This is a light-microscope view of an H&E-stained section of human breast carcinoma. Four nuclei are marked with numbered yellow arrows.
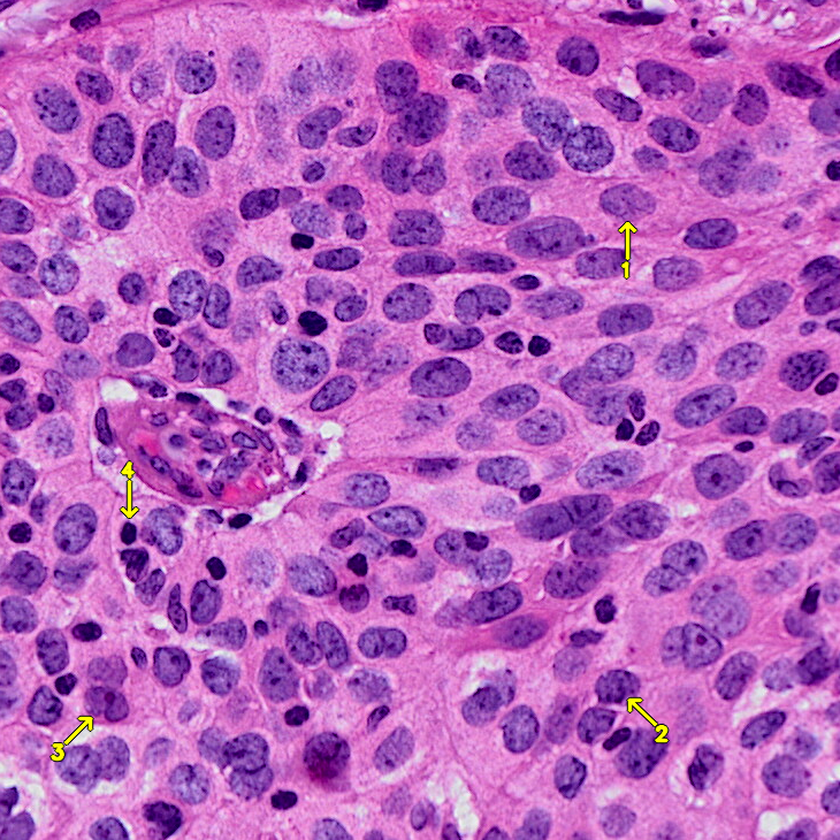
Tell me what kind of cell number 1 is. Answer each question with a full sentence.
The cell that is numbered 1 is a carcinoma cell.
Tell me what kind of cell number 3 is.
The cell that carries the label 3 is a carcinoma cell.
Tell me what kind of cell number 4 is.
Cell 4 should be recorded as a lymphocyte.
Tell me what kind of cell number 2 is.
In the tissue shown, cell 2 is a carcinoma cell.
